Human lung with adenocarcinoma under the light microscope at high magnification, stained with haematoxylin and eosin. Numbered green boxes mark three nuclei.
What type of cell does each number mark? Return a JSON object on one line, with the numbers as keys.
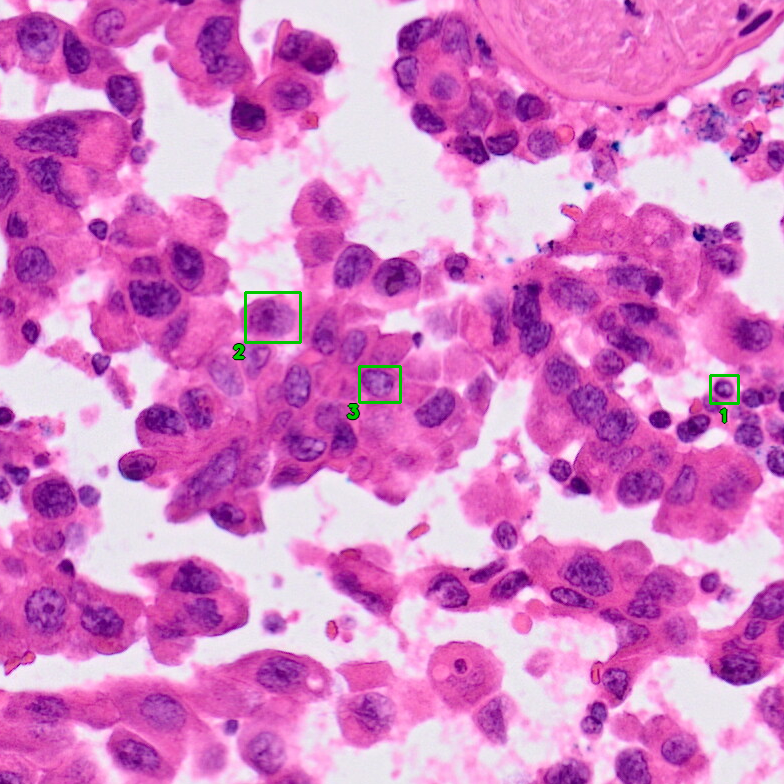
{"1": "lymphocyte", "2": "carcinoma cell", "3": "carcinoma cell"}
